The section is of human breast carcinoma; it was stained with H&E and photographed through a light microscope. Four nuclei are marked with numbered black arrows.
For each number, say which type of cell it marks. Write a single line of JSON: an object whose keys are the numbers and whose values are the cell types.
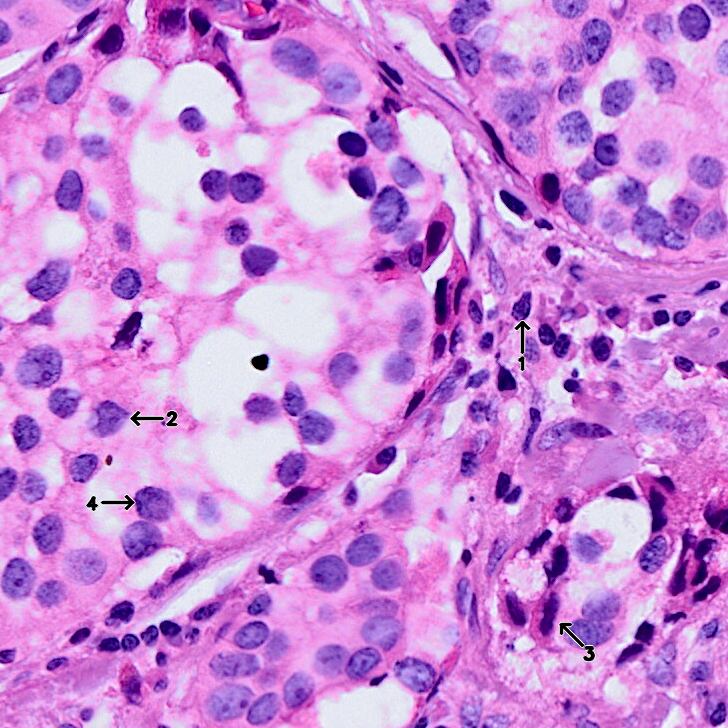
{"1": "lymphocyte", "2": "carcinoma cell", "3": "carcinoma cell", "4": "carcinoma cell"}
